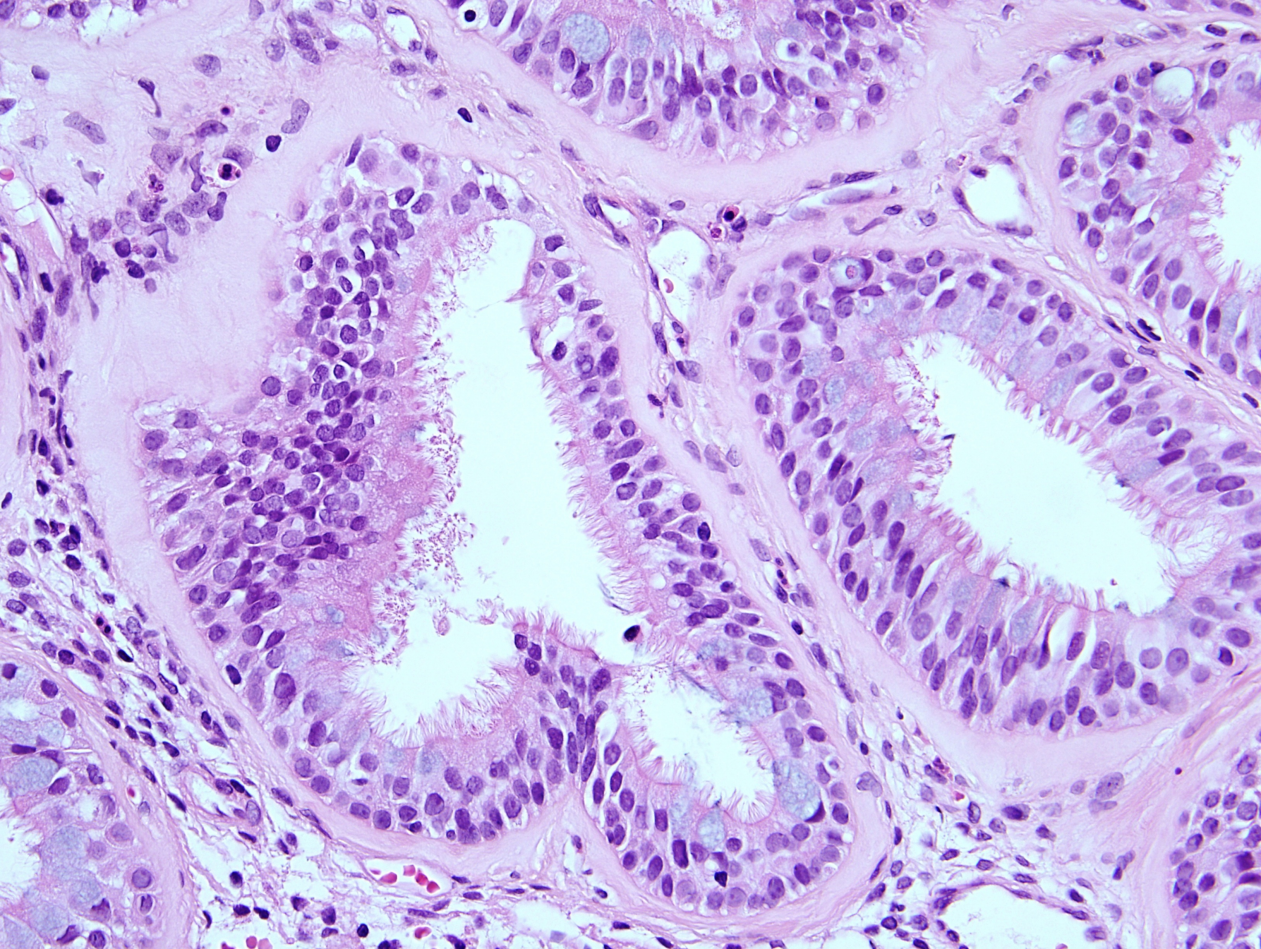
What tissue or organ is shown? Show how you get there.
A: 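Multi-layered ciliated epithelium. Glands are lined by several layers of nuclei stacked from base to lumen. Fine hair-like projections fringe the luminal surface of the lining cells. Scattered cells with pale blue-grey mucin-filled cytoplasm lie within the lining.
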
